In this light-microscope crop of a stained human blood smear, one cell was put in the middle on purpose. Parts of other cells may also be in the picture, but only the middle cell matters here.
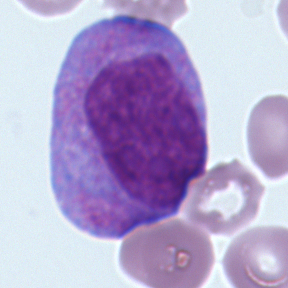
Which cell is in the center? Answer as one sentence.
Centred in the crop is an atypical promyelocyte.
